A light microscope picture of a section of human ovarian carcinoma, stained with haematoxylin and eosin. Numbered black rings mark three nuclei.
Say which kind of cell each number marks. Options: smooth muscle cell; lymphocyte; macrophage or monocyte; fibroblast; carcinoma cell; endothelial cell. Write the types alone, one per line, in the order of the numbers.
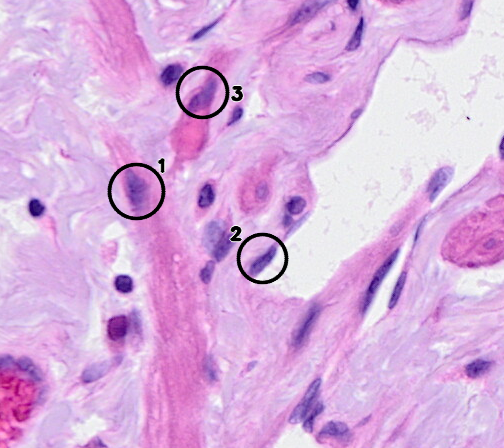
smooth muscle cell
endothelial cell
smooth muscle cell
